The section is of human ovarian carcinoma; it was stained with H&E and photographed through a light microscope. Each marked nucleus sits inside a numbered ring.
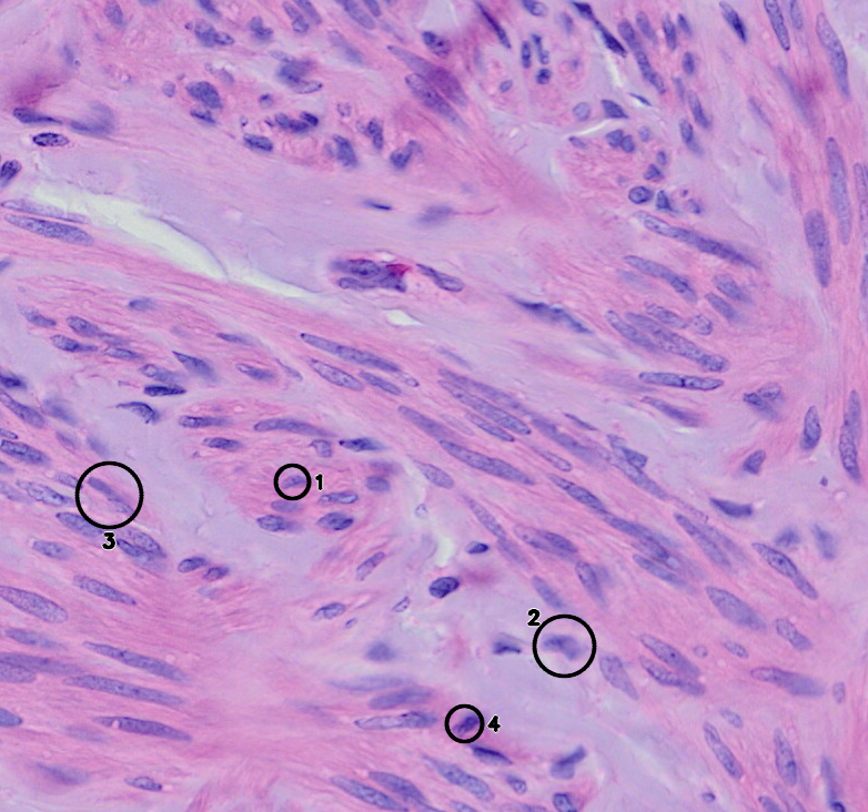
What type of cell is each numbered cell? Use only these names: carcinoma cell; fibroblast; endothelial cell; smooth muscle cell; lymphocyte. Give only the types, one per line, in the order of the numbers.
smooth muscle cell
fibroblast
smooth muscle cell
smooth muscle cell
